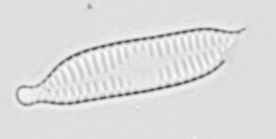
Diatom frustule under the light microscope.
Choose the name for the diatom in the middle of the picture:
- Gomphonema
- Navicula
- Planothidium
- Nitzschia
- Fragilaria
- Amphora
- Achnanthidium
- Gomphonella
Fragilaria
